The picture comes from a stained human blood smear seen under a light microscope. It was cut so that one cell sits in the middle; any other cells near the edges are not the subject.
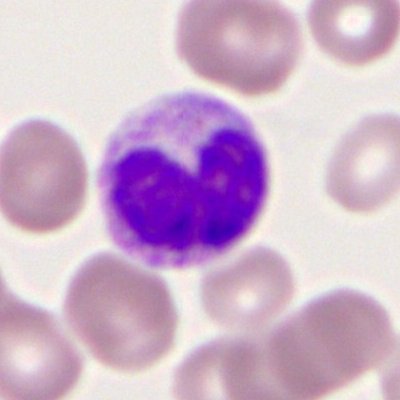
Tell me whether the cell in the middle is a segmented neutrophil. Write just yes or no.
no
